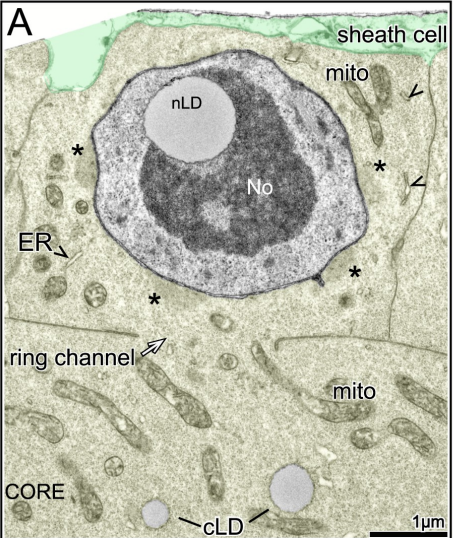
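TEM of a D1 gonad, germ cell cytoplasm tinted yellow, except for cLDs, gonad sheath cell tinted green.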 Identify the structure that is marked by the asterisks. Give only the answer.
P granules.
